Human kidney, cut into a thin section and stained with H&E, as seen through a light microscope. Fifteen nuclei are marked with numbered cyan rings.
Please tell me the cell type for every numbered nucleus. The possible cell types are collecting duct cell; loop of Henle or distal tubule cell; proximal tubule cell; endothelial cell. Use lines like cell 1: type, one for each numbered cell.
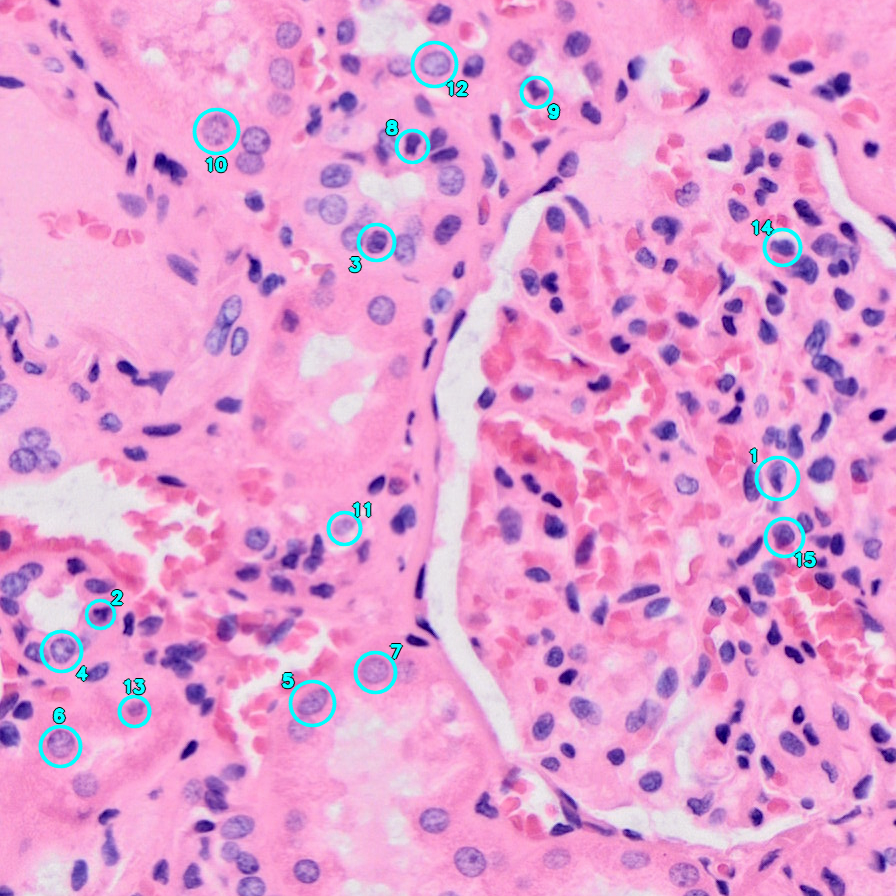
cell 1: endothelial cell
cell 2: collecting duct cell
cell 3: collecting duct cell
cell 4: collecting duct cell
cell 5: proximal tubule cell
cell 6: proximal tubule cell
cell 7: proximal tubule cell
cell 8: collecting duct cell
cell 9: loop of Henle or distal tubule cell
cell 10: proximal tubule cell
cell 11: loop of Henle or distal tubule cell
cell 12: loop of Henle or distal tubule cell
cell 13: proximal tubule cell
cell 14: endothelial cell
cell 15: endothelial cell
